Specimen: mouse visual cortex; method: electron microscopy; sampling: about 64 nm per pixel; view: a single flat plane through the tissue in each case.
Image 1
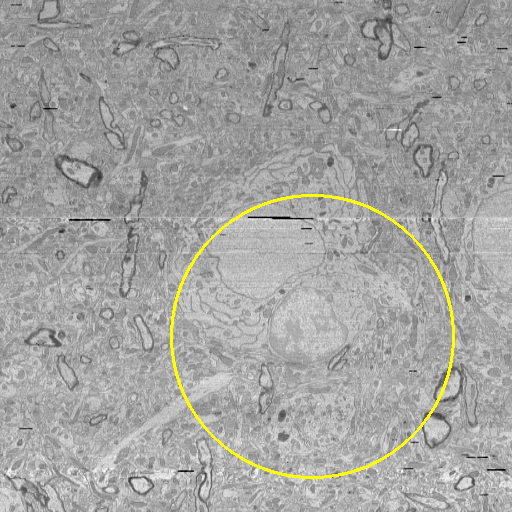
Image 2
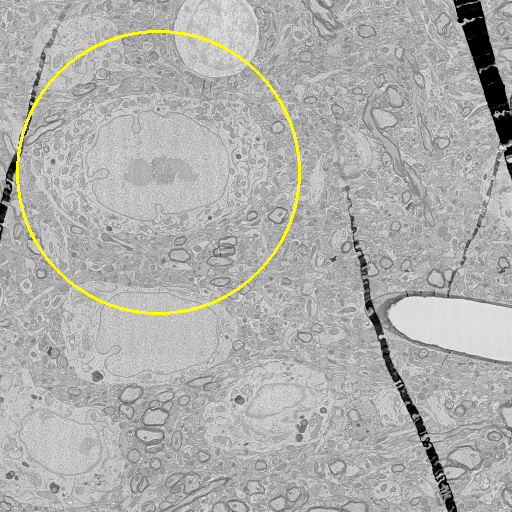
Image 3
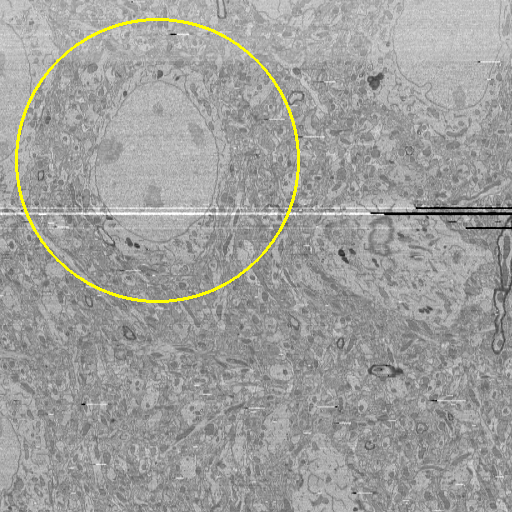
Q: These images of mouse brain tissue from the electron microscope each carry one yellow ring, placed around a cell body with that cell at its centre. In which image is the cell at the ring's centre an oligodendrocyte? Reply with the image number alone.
1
